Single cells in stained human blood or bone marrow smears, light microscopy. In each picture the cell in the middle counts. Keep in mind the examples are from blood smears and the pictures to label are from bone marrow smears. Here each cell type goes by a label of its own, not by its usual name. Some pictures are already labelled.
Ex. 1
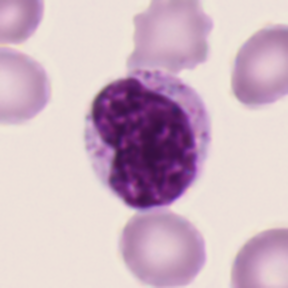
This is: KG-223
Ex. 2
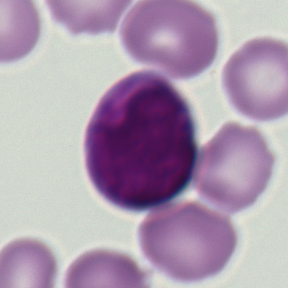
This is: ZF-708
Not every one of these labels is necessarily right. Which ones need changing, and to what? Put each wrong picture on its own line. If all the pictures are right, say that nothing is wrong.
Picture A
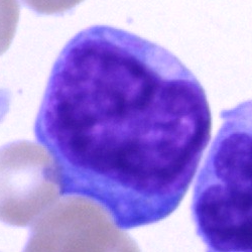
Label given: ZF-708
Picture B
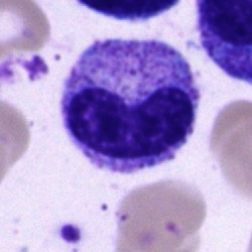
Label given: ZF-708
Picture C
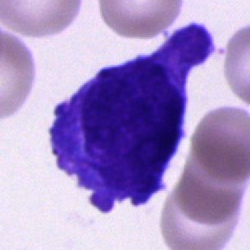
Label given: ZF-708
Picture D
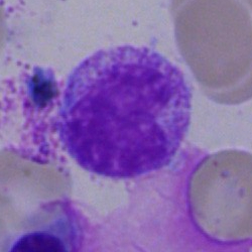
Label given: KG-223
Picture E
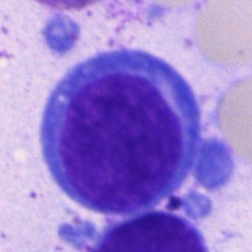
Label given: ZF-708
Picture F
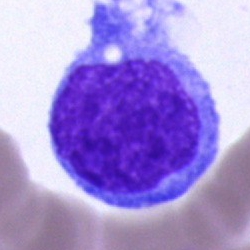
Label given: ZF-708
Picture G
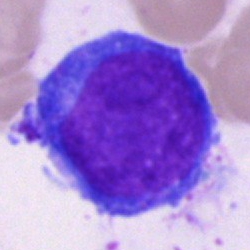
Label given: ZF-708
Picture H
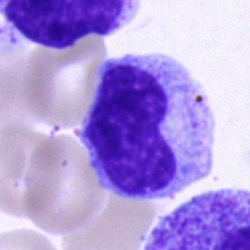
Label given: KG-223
B is labelled ZF-708; correct label: KG-223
